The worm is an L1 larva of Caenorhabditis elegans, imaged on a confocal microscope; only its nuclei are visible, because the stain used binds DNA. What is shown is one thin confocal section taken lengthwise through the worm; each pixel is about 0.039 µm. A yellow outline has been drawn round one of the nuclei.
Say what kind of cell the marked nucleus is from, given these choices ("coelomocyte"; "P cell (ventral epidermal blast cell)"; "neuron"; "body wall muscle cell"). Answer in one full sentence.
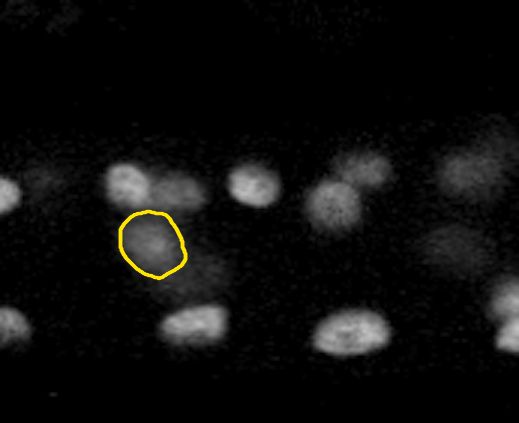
The cell with the marked nucleus is a neuron.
